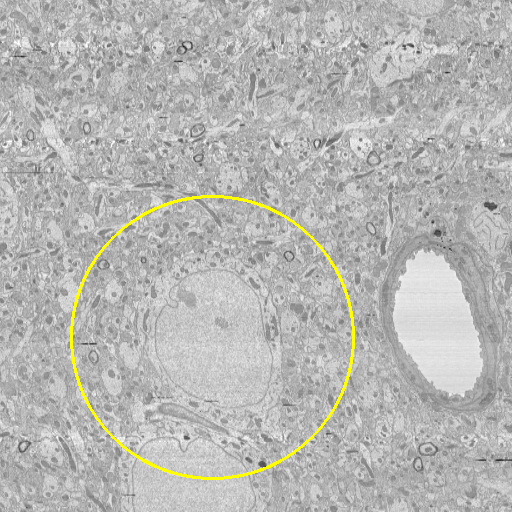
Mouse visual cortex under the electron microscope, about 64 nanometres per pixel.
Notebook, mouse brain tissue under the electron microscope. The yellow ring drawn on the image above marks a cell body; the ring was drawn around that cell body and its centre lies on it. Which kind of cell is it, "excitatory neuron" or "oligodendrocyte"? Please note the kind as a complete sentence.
The marked cell body is that of an excitatory neuron.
